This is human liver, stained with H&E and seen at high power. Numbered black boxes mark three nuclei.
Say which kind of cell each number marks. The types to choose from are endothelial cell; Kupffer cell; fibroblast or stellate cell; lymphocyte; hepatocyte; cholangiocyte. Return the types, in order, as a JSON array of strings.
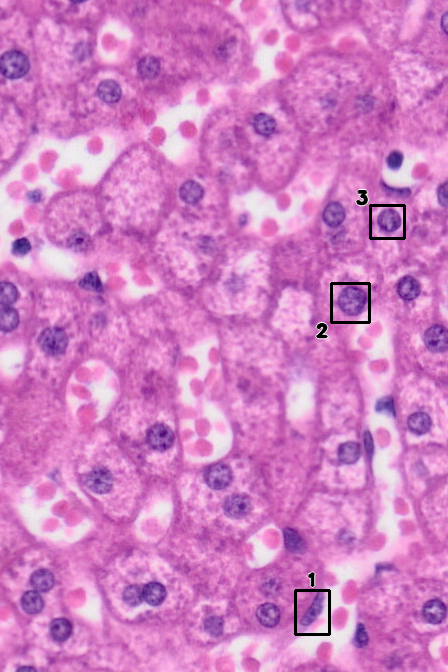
["Kupffer cell", "hepatocyte", "hepatocyte"]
